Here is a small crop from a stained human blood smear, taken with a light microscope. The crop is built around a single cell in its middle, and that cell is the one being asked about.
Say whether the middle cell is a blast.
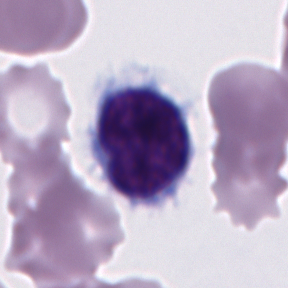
no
